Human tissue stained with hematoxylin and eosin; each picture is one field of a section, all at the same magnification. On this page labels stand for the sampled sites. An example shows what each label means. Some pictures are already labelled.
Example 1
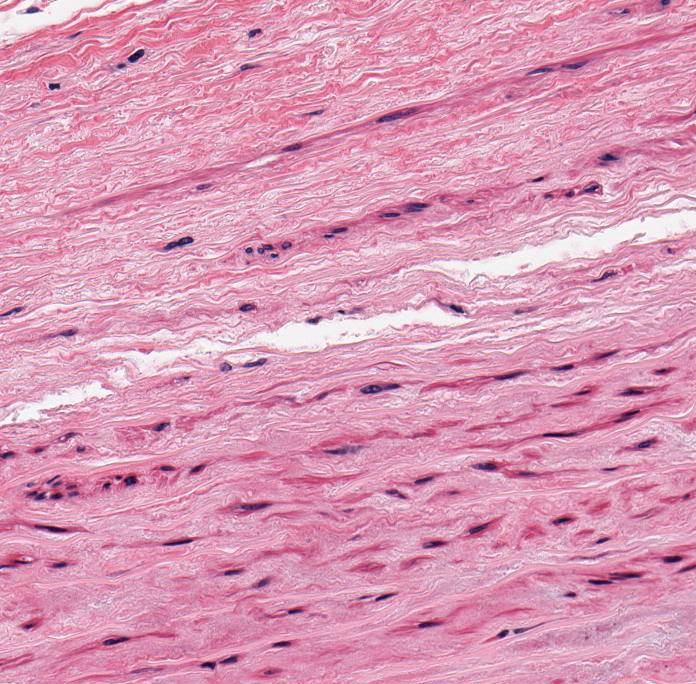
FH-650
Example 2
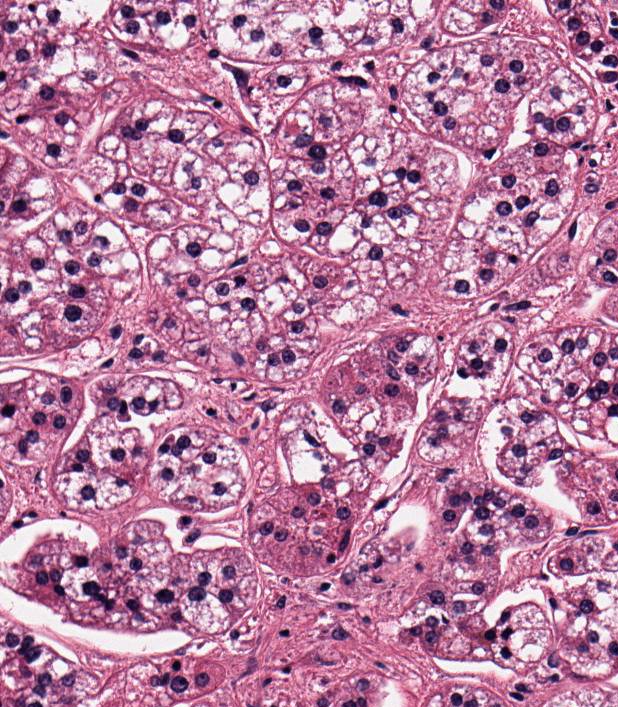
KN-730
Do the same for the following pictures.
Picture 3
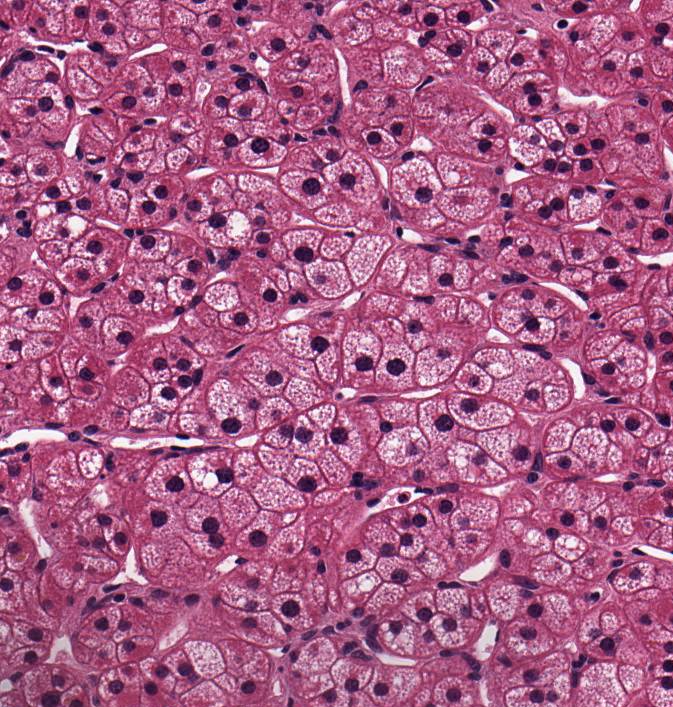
KN-730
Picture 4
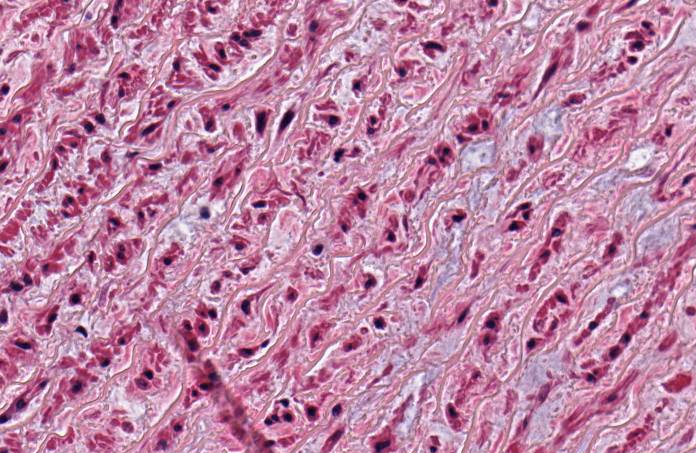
FH-650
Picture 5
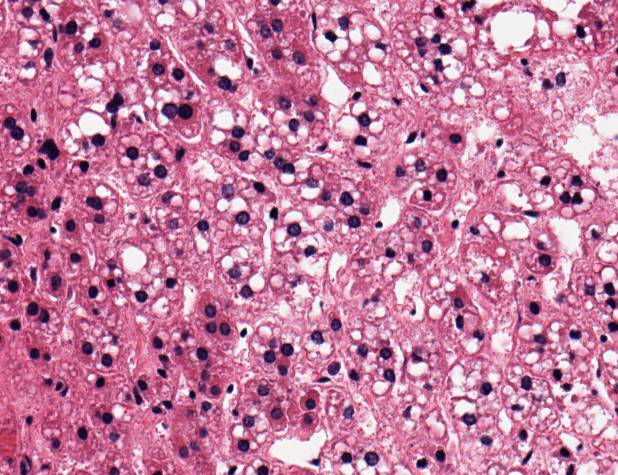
KN-730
